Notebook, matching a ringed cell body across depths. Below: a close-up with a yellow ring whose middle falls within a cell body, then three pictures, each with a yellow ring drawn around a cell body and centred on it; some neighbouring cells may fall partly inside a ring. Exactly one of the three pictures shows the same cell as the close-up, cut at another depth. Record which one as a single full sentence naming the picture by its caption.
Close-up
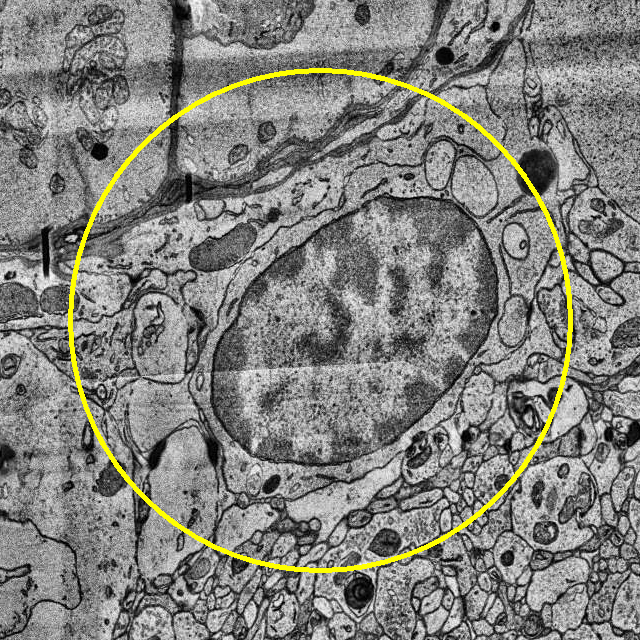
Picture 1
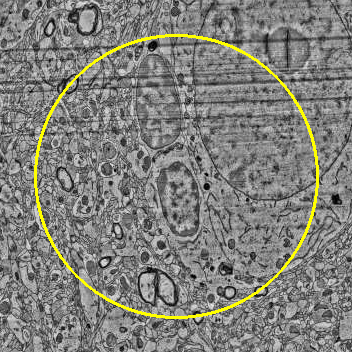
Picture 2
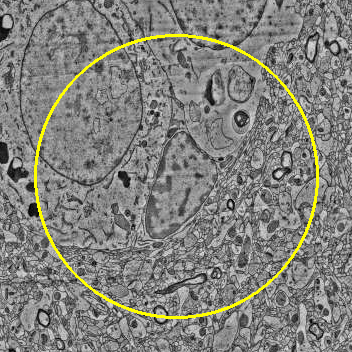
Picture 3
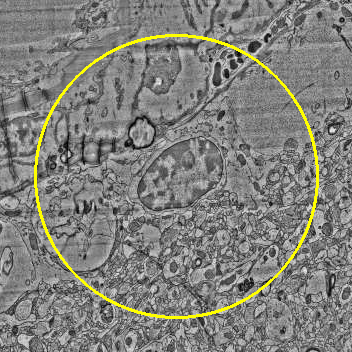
The close-up presents the same cell outlined by the ring in Picture 3.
